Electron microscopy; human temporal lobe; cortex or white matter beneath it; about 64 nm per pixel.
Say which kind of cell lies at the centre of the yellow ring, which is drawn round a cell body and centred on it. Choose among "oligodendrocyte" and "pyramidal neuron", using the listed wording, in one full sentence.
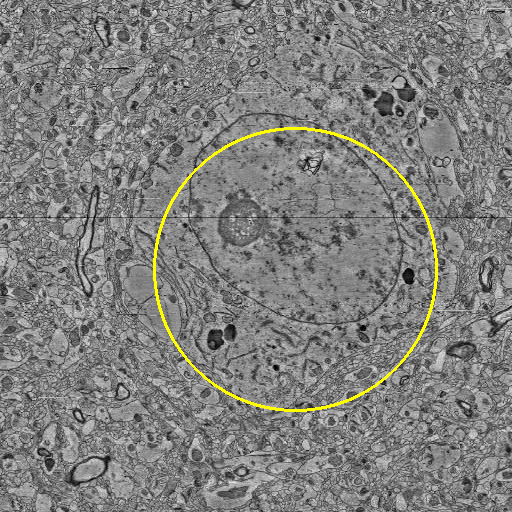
Going by the list, the cell at the yellow ring's centre is a pyramidal neuron.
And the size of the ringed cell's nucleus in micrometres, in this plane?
About 15 by 12 micrometers, in this plane.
